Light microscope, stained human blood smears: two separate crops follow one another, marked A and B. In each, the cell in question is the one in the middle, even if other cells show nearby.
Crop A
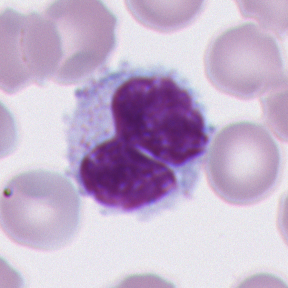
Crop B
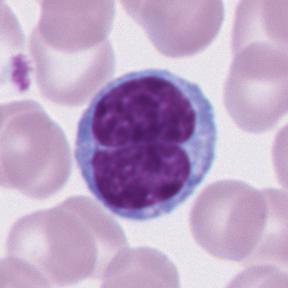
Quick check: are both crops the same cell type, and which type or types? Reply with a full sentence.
Yes, the cells in both crops are typical lymphocytes.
